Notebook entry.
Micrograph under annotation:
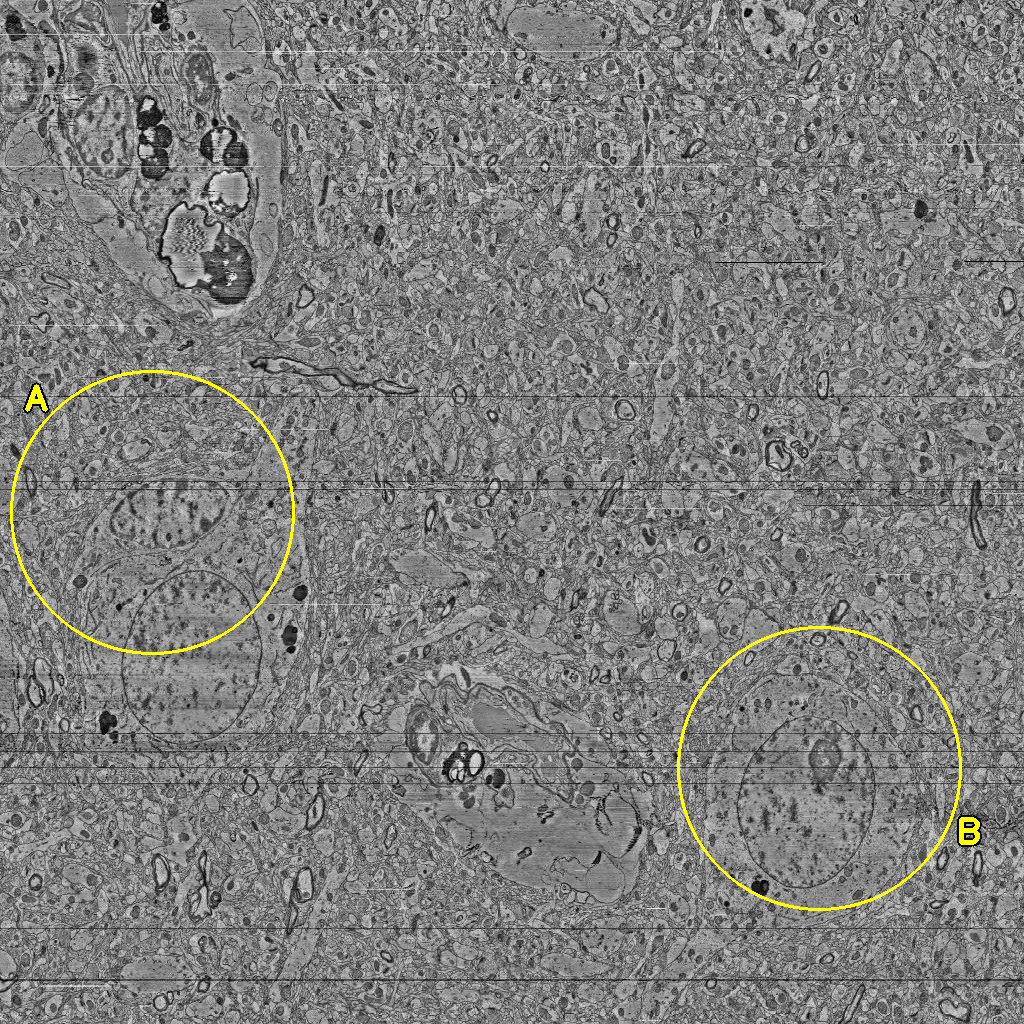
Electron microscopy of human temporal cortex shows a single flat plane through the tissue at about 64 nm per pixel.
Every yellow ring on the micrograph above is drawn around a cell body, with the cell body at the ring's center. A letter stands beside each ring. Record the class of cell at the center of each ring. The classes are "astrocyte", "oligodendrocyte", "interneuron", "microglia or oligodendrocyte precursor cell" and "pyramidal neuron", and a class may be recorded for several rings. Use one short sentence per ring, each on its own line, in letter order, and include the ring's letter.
Ring A is centered on a microglial cell or oligodendrocyte precursor cell.
Ring B is centered on a pyramidal neuron.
